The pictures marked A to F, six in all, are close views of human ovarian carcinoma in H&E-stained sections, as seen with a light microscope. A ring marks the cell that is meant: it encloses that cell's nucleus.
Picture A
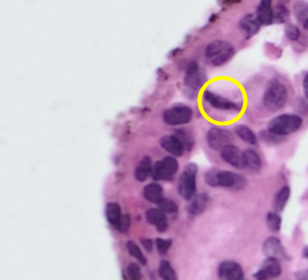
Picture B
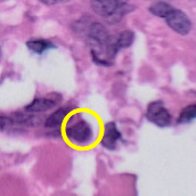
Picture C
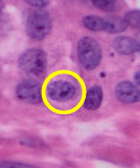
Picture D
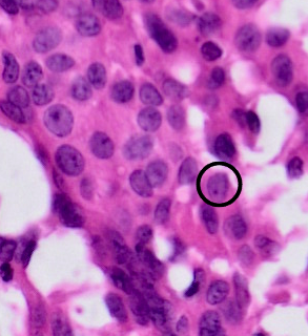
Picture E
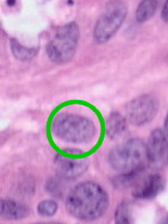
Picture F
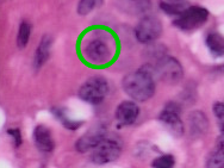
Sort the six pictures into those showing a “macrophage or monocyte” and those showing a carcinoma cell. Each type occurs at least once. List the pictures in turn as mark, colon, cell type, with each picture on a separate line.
A: macrophage or monocyte
B: carcinoma cell
C: macrophage or monocyte
D: carcinoma cell
E: carcinoma cell
F: carcinoma cell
